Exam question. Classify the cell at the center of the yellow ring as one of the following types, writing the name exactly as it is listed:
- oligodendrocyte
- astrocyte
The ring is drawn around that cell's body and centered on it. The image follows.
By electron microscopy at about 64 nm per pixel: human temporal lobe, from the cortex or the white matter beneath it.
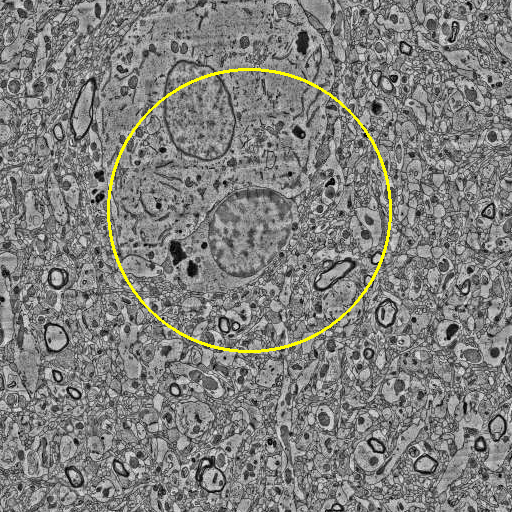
oligodendrocyte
